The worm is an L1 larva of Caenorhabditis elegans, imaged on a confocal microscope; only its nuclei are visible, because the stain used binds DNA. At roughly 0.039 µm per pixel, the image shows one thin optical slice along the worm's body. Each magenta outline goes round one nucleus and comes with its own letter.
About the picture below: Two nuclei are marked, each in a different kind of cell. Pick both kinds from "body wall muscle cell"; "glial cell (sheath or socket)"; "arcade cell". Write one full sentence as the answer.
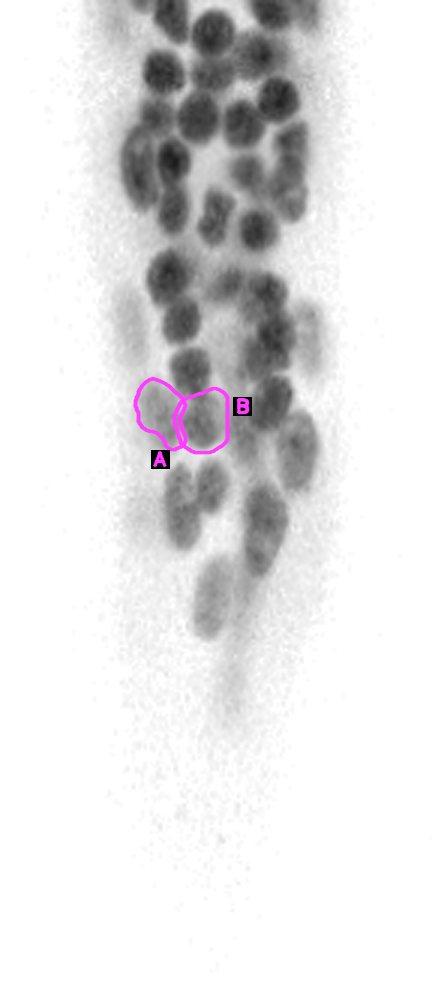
The nucleus A is that of a body wall muscle cell, while B is that of a glial cell (sheath or socket).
